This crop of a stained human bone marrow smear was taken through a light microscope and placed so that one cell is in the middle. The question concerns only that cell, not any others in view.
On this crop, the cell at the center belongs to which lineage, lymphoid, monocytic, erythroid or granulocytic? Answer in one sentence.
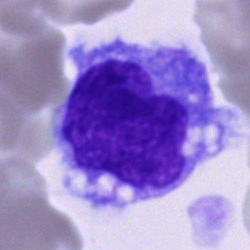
The lineage of the central cell is the monocytic lineage.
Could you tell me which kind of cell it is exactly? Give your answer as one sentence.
This crop is built around a monocyte at its centre.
